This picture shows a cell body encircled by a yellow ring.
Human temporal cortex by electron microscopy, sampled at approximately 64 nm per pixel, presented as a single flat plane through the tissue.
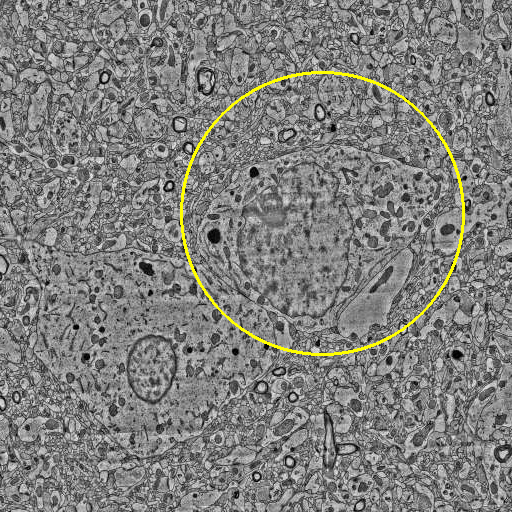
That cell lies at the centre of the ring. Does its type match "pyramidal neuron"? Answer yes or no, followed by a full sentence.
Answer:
No, in the picture, the ring surrounds a cell of another type at its centre.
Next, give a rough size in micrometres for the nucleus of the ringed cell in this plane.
The nucleus appears roughly 10 by 7 micrometres in this plane.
